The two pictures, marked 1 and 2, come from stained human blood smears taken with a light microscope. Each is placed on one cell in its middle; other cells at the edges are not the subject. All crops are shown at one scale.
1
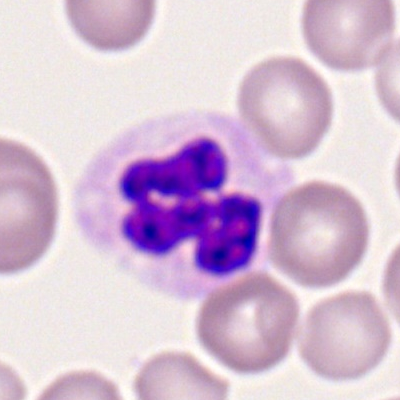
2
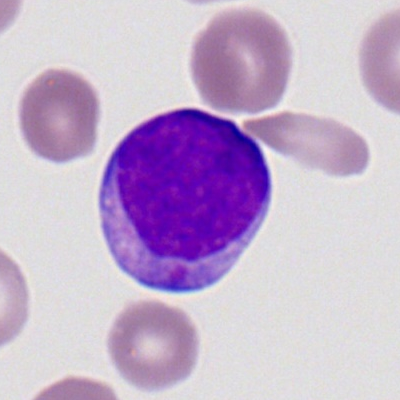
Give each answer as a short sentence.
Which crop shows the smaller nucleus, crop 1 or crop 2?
Smaller is the nucleus in crop 1, and the other is about 1.5 times as large in area.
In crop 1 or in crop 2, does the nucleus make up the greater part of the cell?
It is the cell in crop 2 that is filled more by its nucleus.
